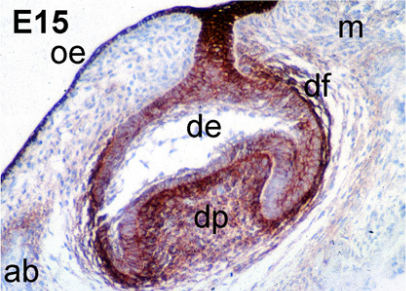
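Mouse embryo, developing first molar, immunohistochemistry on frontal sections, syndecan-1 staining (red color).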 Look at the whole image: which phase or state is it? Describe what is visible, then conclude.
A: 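The epithelial germ is connected to the surface epithelium by a narrow stalk. The epithelium forms a cap over a dense mesenchymal papilla that fills its concavity. That points to this answer: late cap.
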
